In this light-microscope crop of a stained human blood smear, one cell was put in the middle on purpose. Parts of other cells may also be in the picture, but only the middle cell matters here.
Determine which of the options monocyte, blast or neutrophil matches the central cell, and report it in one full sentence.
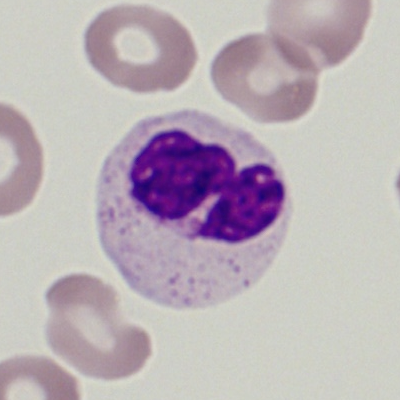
Within this crop, a neutrophil occupies the central position.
